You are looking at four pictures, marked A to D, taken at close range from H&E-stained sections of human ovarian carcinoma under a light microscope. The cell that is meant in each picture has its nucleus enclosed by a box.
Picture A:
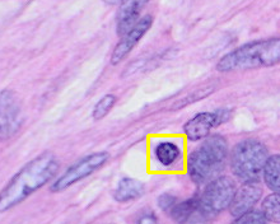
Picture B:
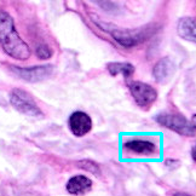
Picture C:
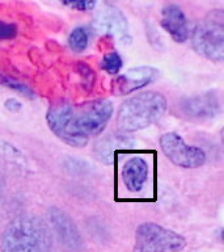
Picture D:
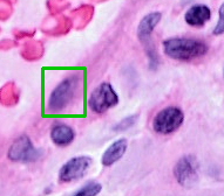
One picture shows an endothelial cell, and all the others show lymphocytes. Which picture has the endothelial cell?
D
